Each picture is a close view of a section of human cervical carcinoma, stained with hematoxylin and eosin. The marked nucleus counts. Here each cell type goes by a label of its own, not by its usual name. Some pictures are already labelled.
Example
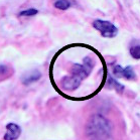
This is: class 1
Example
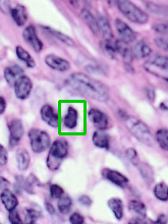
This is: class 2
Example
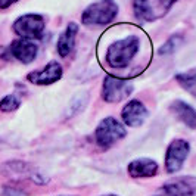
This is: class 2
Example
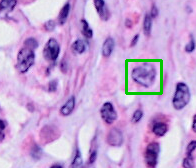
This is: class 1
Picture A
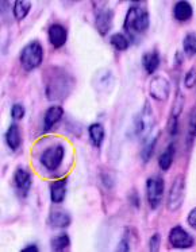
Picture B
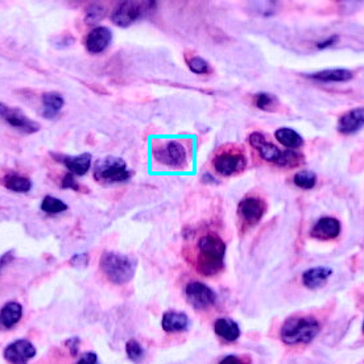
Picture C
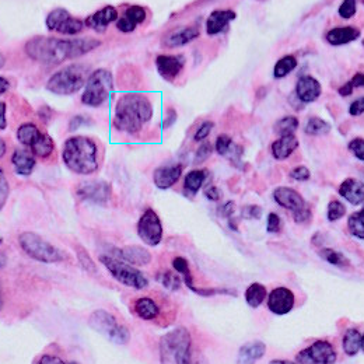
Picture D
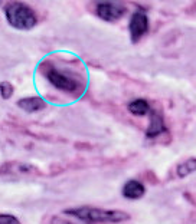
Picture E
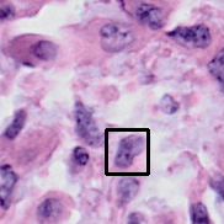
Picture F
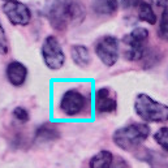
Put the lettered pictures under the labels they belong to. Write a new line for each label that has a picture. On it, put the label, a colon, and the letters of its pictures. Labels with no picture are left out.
class 1: B, C, D, E
class 2: A, F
